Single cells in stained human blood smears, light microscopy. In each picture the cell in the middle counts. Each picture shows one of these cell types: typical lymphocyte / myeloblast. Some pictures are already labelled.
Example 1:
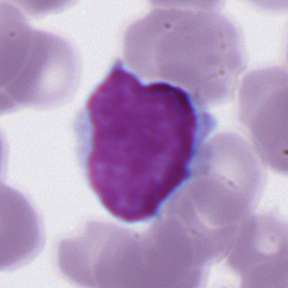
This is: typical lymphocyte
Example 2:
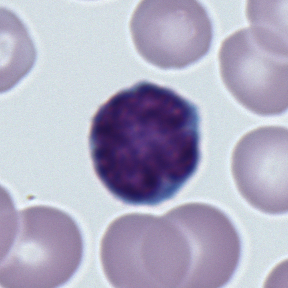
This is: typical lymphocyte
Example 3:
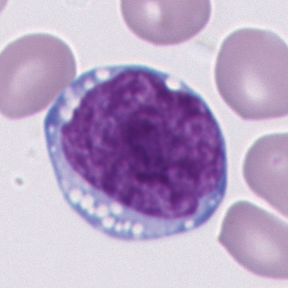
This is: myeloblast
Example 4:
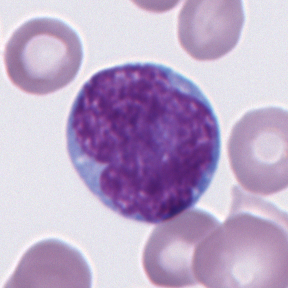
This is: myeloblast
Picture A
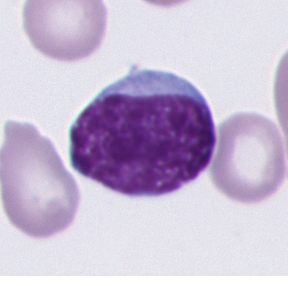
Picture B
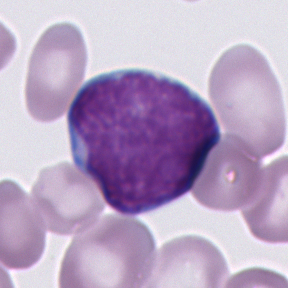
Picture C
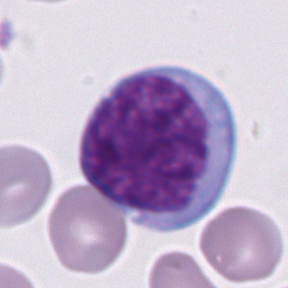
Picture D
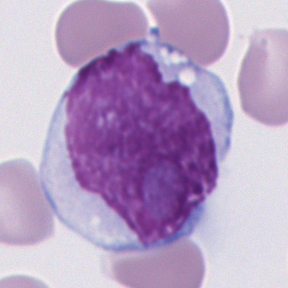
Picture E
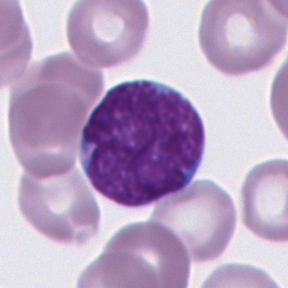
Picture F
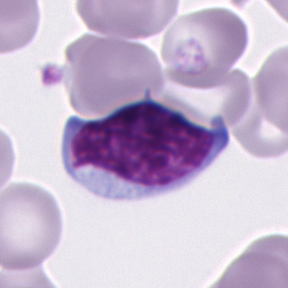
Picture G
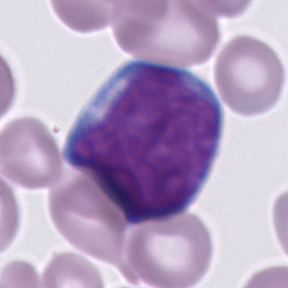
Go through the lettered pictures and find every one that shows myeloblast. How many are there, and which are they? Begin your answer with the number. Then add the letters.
6: A, B, C, D, E, G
